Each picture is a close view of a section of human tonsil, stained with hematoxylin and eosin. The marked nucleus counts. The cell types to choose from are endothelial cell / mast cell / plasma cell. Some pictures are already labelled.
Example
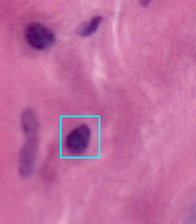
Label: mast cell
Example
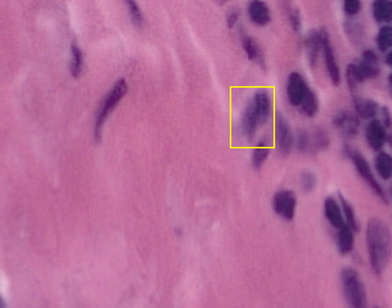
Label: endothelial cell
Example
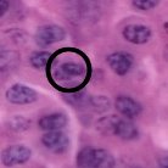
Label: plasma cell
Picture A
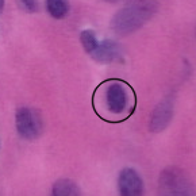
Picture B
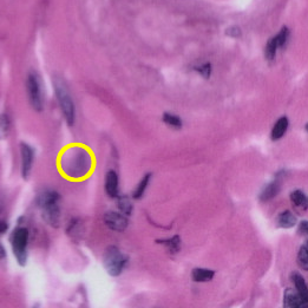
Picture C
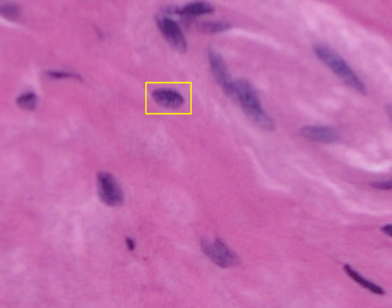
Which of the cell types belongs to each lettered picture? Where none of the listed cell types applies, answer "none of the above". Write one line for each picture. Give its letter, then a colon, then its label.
A: mast cell
B: endothelial cell
C: mast cell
